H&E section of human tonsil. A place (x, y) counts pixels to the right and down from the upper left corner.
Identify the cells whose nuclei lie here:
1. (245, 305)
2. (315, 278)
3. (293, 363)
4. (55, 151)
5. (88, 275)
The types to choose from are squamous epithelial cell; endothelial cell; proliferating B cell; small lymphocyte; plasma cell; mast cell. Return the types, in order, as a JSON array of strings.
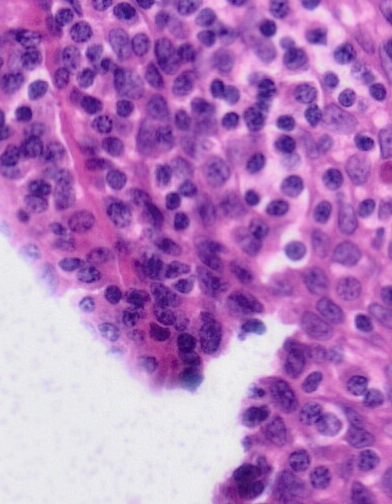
["squamous epithelial cell", "squamous epithelial cell", "squamous epithelial cell", "plasma cell", "plasma cell"]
